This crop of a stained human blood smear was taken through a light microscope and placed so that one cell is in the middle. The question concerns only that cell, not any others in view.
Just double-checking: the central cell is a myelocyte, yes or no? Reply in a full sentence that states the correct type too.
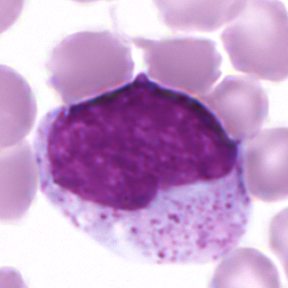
Yes, within this crop, the central cell is a myelocyte.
